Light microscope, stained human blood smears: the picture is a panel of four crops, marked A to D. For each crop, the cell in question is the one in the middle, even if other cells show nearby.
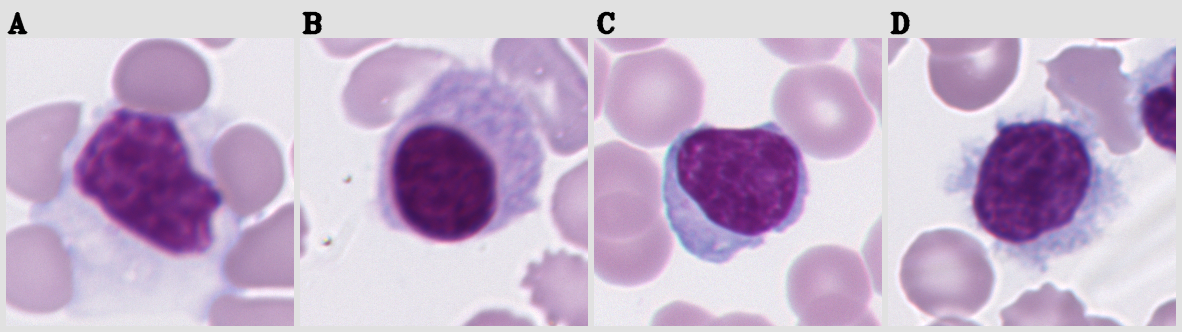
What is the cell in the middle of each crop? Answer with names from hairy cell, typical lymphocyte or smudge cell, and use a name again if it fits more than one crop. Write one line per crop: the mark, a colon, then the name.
A: hairy cell
B: hairy cell
C: typical lymphocyte
D: hairy cell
